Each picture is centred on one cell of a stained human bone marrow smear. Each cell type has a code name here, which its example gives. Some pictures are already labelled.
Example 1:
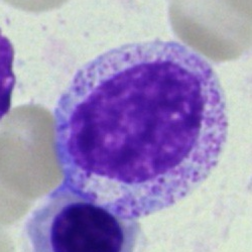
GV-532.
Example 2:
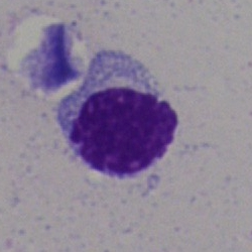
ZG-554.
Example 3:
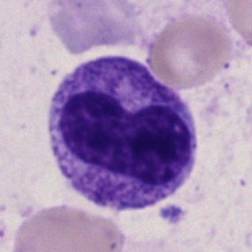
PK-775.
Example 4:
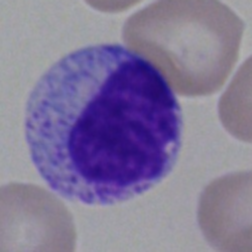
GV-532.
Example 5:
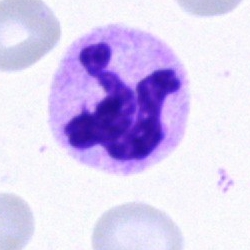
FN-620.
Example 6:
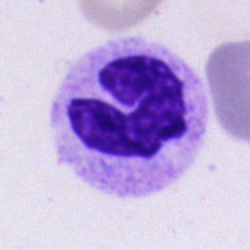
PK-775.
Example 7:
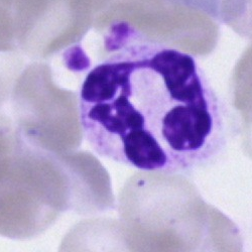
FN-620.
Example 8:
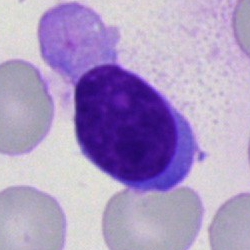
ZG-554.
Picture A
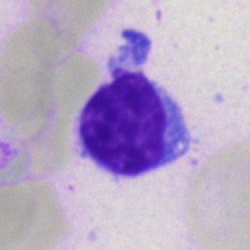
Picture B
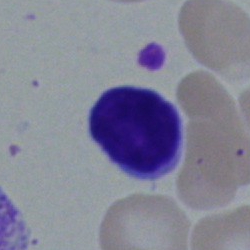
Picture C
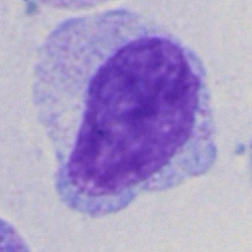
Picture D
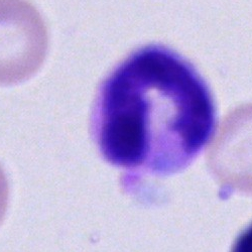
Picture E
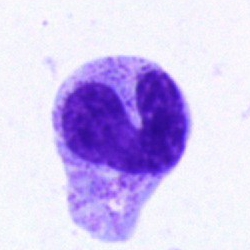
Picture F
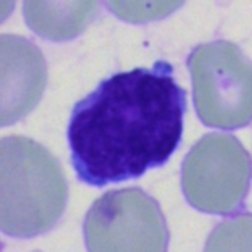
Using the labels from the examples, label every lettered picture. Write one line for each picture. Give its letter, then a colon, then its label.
A: ZG-554.
B: ZG-554.
C: GV-532.
D: PK-775.
E: PK-775.
F: ZG-554.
